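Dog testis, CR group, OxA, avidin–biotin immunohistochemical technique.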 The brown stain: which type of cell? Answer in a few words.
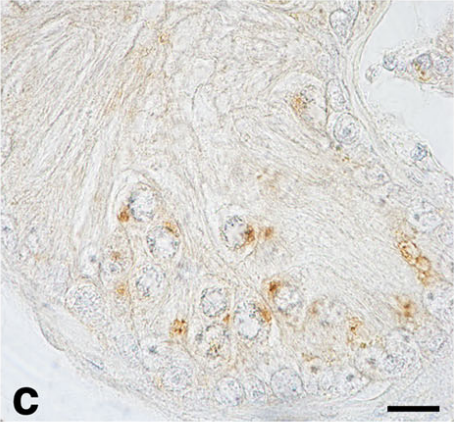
Early germ cells.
